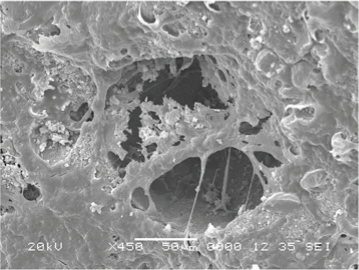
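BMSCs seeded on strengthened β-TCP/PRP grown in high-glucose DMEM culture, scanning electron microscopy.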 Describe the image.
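Bone marrow stromal cells form a nearly continuous smooth layer over the scaffold surface and around a pore. At the pore rim the cells send out slender processes and strands that bridge the dark opening. Granular scaffold material shows through in a few places.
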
